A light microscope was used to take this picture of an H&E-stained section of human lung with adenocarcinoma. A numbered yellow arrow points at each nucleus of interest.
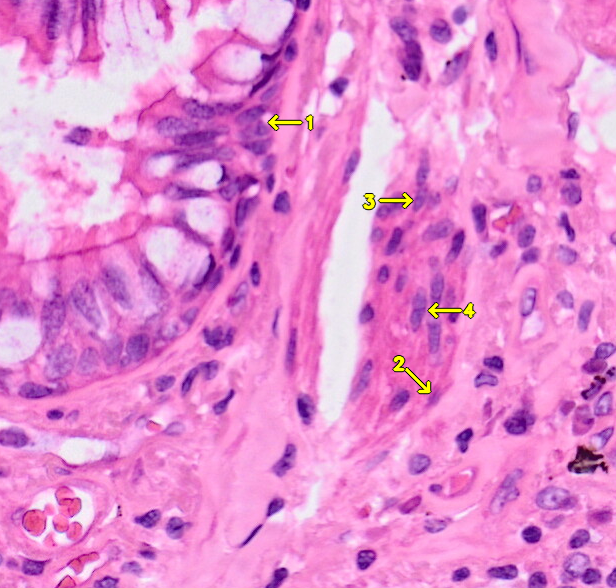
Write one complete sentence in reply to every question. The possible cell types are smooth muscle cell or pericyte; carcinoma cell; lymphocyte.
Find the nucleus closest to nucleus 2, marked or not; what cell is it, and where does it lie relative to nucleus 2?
A smooth muscle cell or pericyte lies closest, to the left of nucleus 2.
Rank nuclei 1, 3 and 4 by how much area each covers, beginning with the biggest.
By area, largest first, they run 1, 4, 3.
